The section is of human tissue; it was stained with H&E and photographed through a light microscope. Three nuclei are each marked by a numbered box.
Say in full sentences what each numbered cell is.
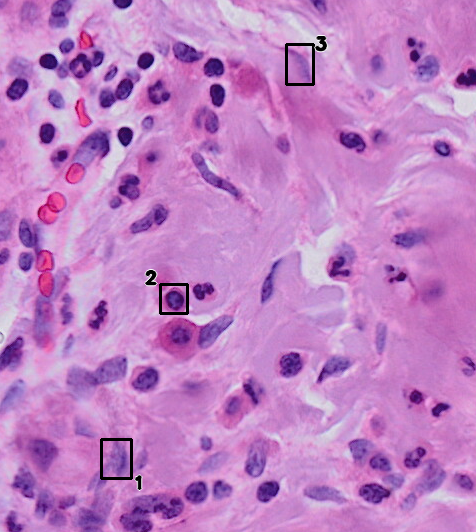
Cells 1 and 3 are fibroblasts. Cell 2 is a mast cell.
